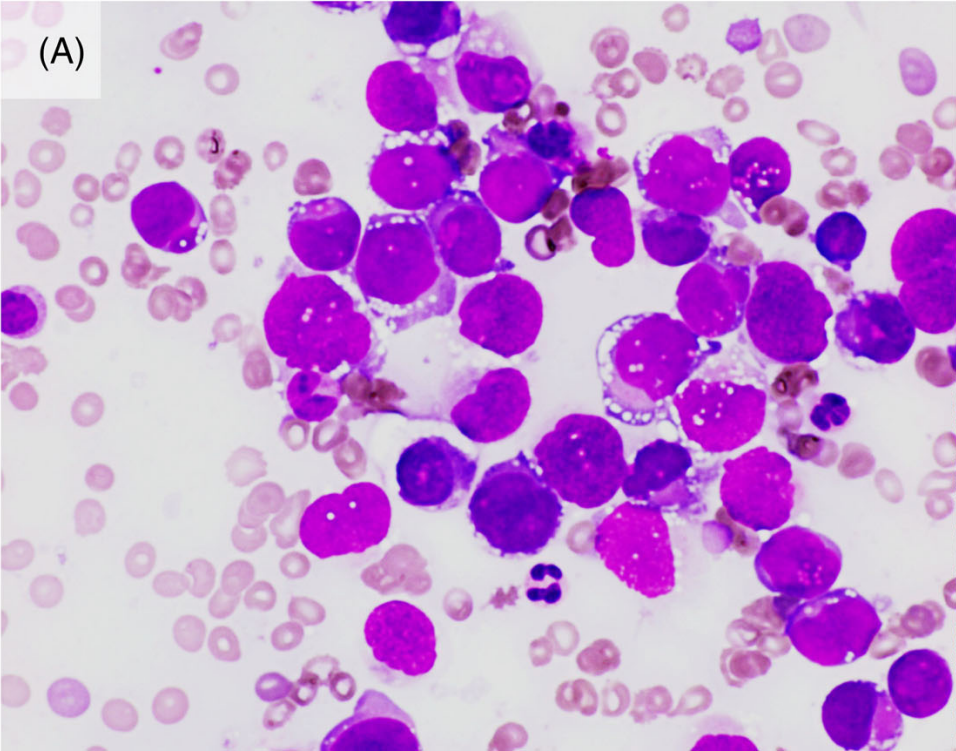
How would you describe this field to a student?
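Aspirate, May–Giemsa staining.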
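Bone marrow smear with a cluster of large abnormal cells, much larger than the scattered red cells and the few neutrophils beside them. The cells have large round purple nuclei and a rim of bluish cytoplasm, and many carry small round clear vacuoles, numerous along the cell borders.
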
